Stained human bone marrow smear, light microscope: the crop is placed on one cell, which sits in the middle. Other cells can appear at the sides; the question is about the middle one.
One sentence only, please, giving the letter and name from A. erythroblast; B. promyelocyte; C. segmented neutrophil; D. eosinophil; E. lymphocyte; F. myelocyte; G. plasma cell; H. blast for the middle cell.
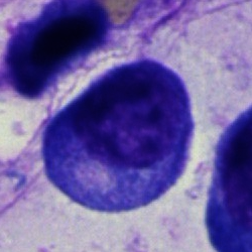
The cell at the centre is a plasma cell, and option G accordingly is correct.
